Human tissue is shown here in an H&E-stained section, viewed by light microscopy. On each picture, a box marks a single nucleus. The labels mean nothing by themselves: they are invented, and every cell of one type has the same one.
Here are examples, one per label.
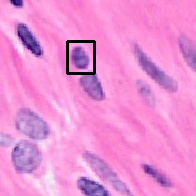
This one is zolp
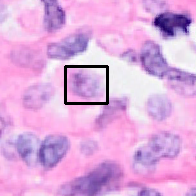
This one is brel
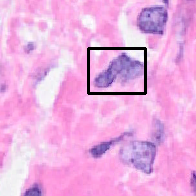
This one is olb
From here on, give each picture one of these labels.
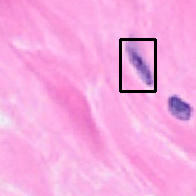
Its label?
olb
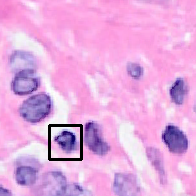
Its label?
zolp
